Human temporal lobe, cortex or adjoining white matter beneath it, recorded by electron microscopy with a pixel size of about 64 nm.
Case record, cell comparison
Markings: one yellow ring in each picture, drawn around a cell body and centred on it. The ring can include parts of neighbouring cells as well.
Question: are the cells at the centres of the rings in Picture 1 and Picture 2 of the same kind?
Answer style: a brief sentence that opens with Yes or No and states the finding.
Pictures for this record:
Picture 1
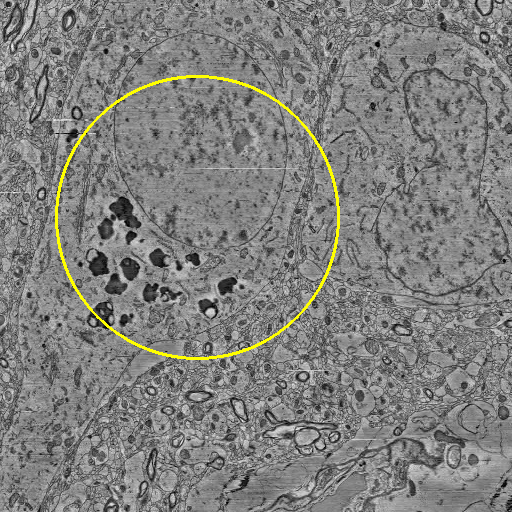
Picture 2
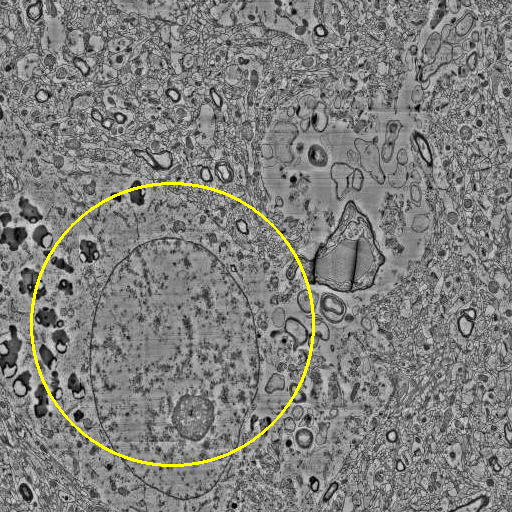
Yes, the cells in Picture 1 and Picture 2 are of the same kind.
